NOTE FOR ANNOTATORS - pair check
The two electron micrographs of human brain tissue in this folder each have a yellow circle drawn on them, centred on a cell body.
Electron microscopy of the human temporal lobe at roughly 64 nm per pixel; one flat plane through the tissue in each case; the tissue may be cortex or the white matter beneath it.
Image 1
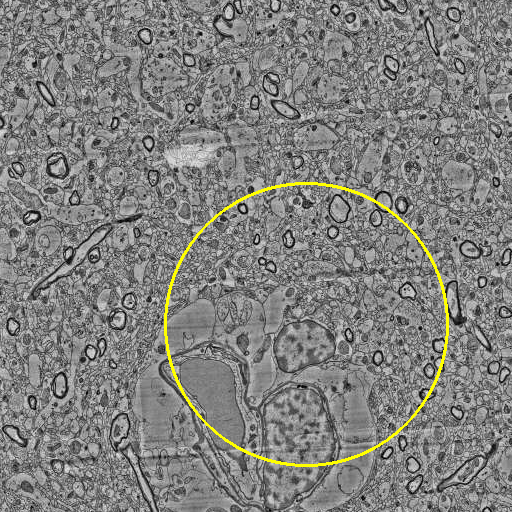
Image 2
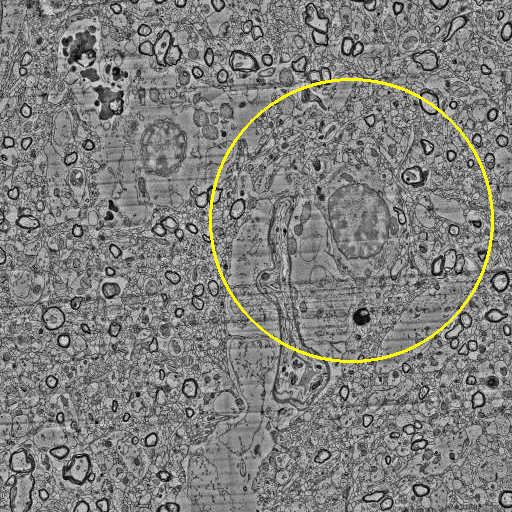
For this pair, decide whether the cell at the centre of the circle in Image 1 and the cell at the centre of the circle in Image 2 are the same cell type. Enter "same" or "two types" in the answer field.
two types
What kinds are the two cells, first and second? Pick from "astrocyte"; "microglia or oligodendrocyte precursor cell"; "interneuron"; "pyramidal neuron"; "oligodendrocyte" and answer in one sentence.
The second picture holds an oligodendrocyte in its ring, and the first holds a microglial cell or oligodendrocyte precursor cell.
